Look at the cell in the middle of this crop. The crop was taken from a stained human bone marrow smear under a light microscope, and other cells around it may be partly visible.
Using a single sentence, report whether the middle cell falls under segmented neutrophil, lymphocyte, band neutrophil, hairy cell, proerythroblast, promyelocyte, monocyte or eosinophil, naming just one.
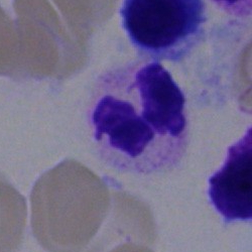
In the central position of this crop, the cell is a segmented neutrophil.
